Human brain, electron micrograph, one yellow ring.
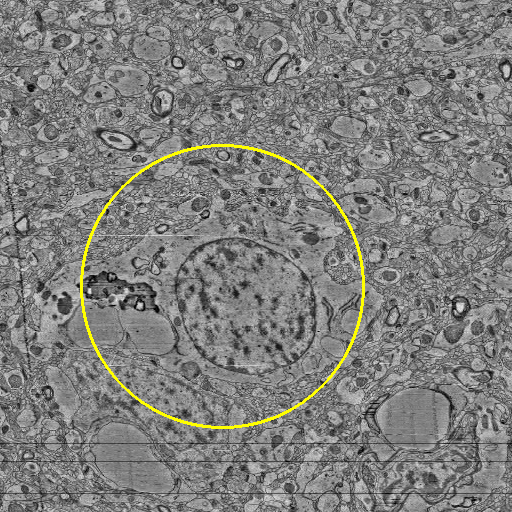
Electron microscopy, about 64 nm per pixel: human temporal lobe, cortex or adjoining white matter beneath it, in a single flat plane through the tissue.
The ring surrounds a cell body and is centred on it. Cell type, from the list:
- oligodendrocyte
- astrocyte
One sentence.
The yellow ring circles an astrocyte.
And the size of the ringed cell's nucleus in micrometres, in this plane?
The ringed cell's nucleus measures approximately 10 by 8 micrometres in this plane.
